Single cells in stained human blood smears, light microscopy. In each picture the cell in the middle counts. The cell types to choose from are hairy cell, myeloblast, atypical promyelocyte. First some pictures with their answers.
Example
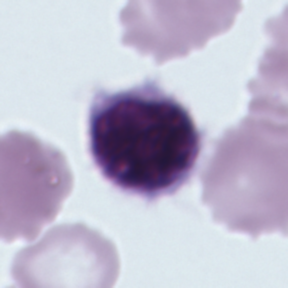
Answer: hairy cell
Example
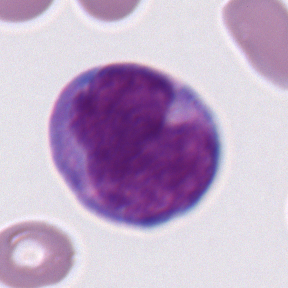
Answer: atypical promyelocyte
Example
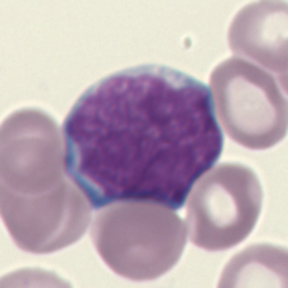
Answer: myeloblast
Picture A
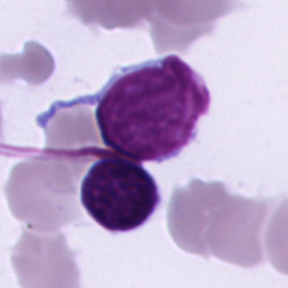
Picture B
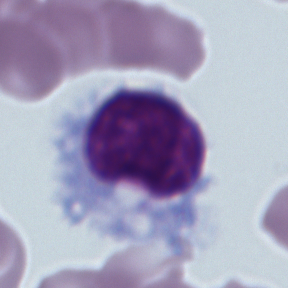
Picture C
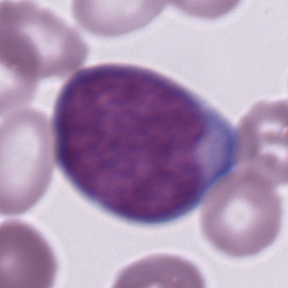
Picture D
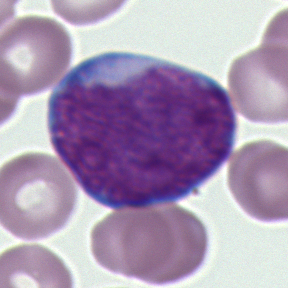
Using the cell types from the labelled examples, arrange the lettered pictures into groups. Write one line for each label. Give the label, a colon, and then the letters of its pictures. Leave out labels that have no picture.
hairy cell: B
myeloblast: A, C, D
